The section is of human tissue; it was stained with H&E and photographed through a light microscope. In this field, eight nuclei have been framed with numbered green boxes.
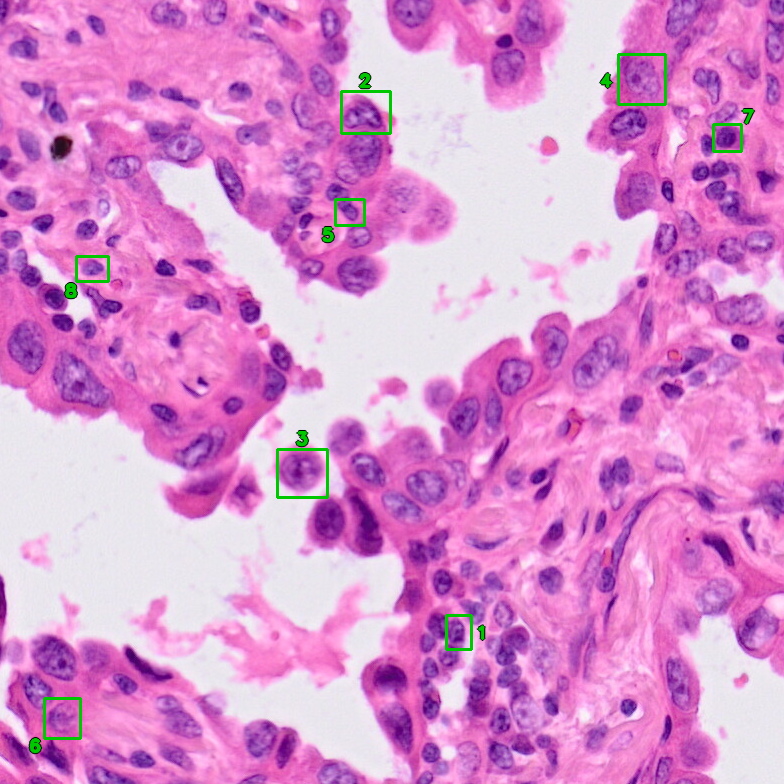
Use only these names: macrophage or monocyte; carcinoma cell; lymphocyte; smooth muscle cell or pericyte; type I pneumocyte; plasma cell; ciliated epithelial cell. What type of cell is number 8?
lymphocyte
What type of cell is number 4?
carcinoma cell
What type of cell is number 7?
plasma cell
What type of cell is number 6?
carcinoma cell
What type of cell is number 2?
carcinoma cell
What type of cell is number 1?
lymphocyte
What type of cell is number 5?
lymphocyte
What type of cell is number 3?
carcinoma cell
